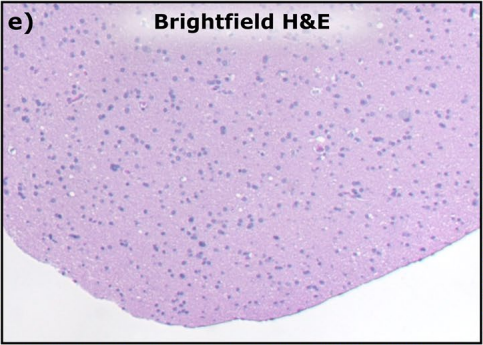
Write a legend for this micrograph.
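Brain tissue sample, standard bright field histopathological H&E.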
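The background is pale pink, finely fibrillary tissue. Many dark purple nuclei are scattered fairly evenly through it, round to oval and varying in size, some darker and more irregular than others. Some nuclei sit in small clear halos. The tissue ends in a curved edge at the bottom against the empty white background.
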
